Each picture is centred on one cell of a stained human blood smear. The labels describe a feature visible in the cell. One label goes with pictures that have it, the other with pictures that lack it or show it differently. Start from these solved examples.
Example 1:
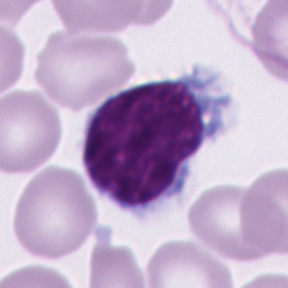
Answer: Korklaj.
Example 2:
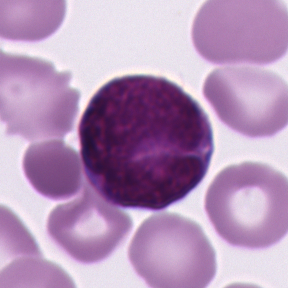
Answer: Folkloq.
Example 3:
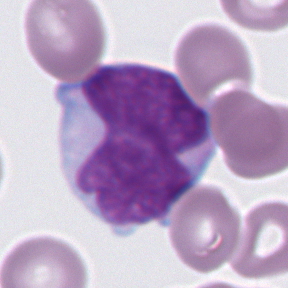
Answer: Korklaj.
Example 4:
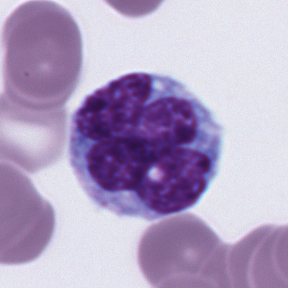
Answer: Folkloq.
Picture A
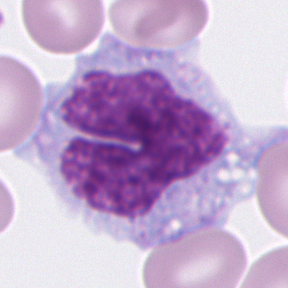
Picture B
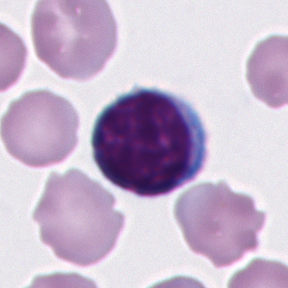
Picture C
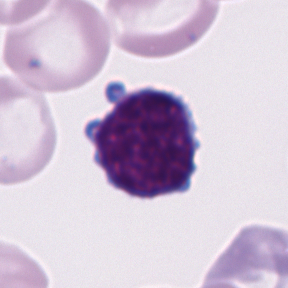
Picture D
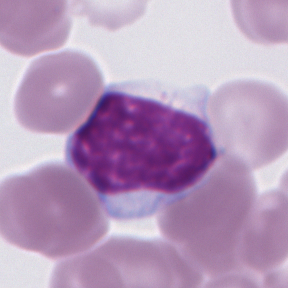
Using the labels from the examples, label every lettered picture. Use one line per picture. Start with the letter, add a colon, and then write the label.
A: Korklaj.
B: Folkloq.
C: Korklaj.
D: Korklaj.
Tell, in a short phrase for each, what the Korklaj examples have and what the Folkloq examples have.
Korklaj: ragged outline or projections; Folkloq: smooth outline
